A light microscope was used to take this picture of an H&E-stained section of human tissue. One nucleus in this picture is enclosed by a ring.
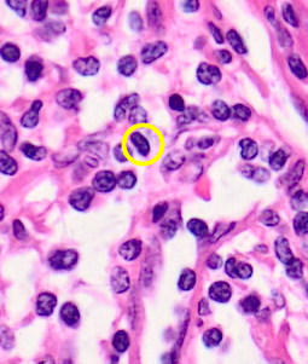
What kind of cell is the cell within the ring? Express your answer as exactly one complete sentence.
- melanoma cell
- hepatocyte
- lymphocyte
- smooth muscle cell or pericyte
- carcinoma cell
The classification of the cell within the ring is as a lymphocyte.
